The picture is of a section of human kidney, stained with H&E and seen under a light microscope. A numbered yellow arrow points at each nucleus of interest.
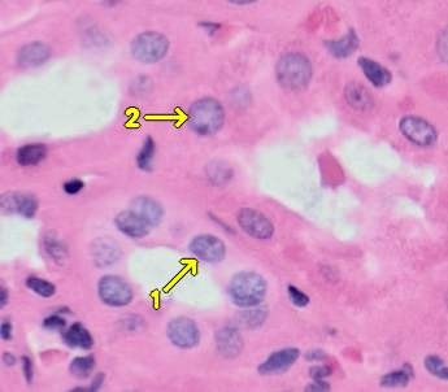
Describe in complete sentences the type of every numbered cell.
Cell 1 is a collecting duct cell and cell 2 is a proximal tubule cell.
